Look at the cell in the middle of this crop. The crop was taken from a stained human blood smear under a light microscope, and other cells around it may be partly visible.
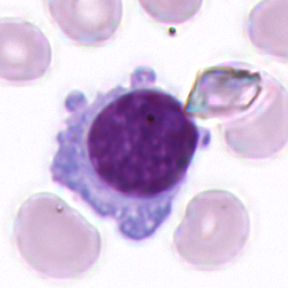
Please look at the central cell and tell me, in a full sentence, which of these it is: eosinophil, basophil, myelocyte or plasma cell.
The central cell in this smear crop is a plasma cell.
